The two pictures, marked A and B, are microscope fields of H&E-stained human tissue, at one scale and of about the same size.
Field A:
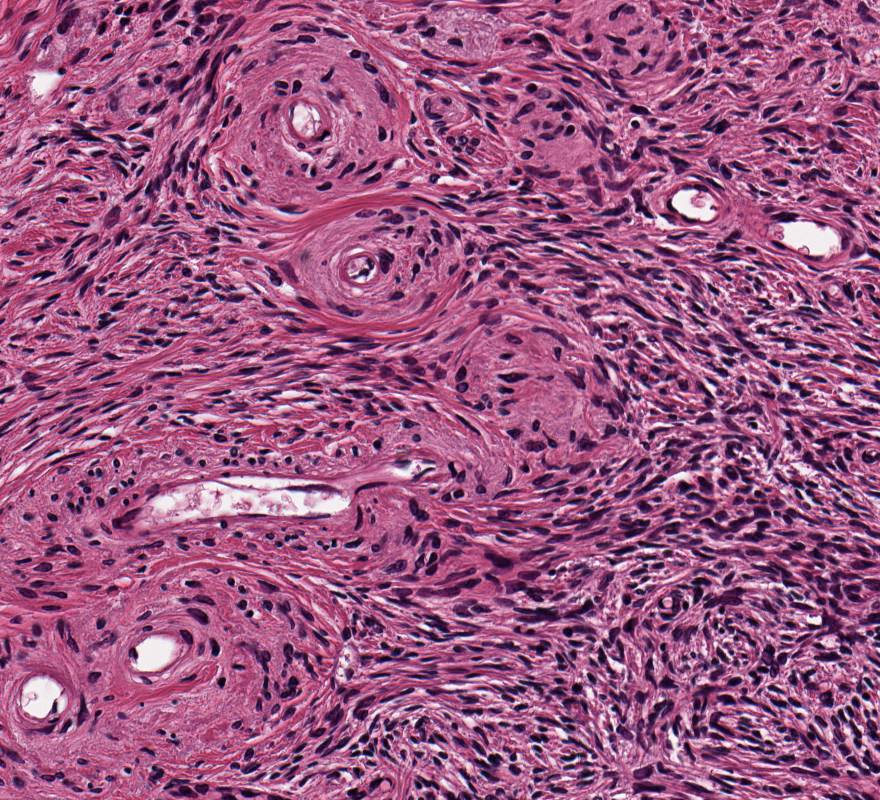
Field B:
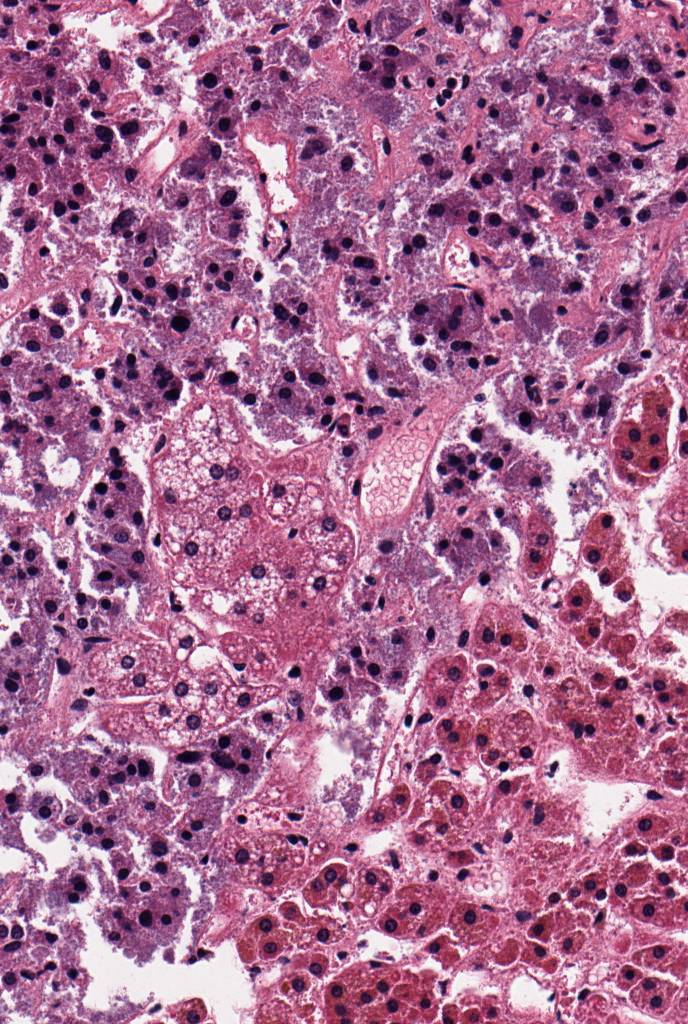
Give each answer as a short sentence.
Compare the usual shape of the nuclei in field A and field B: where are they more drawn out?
The nuclei are more elongated in field A.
